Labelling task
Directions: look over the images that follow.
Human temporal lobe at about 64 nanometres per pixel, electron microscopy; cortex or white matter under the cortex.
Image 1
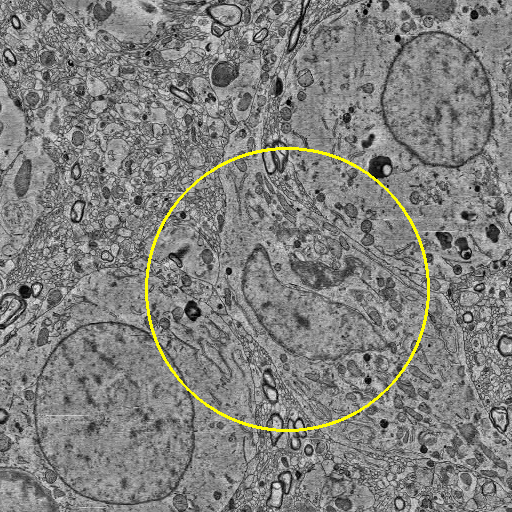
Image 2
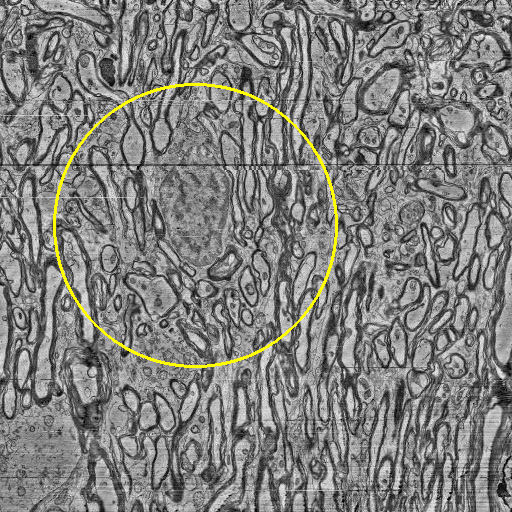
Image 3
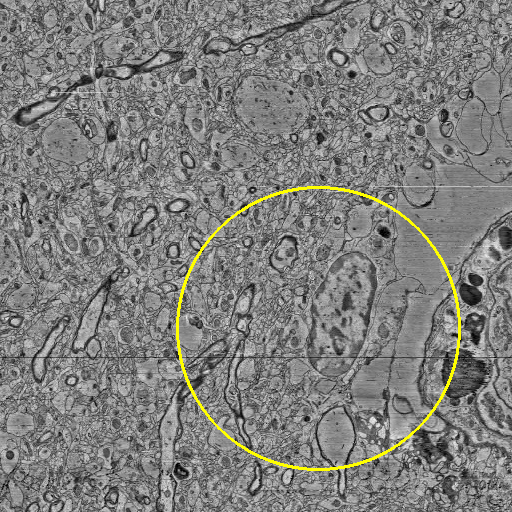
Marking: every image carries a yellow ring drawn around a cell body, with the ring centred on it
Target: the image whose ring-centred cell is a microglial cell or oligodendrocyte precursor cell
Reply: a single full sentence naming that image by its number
The requested cell sits at the ring's centre in Image 3.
